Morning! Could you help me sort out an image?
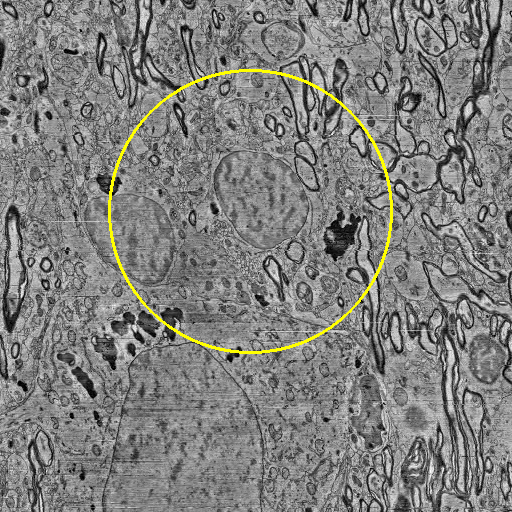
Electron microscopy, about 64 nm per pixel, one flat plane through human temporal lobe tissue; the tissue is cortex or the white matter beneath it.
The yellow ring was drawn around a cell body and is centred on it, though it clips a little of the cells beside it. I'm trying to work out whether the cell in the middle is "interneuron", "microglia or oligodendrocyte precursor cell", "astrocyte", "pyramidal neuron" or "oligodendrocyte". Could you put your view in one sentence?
The ringed cell body is that of a microglial cell or oligodendrocyte precursor cell.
